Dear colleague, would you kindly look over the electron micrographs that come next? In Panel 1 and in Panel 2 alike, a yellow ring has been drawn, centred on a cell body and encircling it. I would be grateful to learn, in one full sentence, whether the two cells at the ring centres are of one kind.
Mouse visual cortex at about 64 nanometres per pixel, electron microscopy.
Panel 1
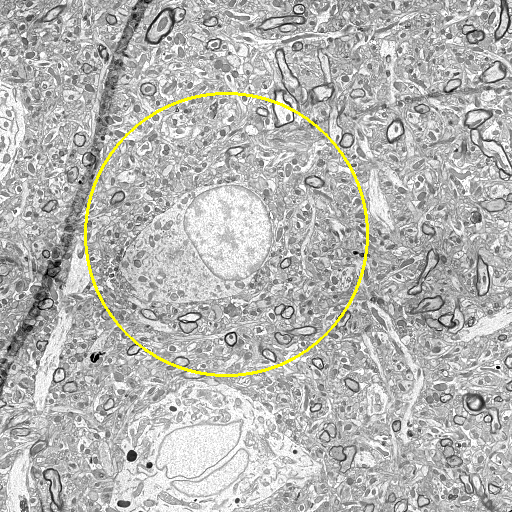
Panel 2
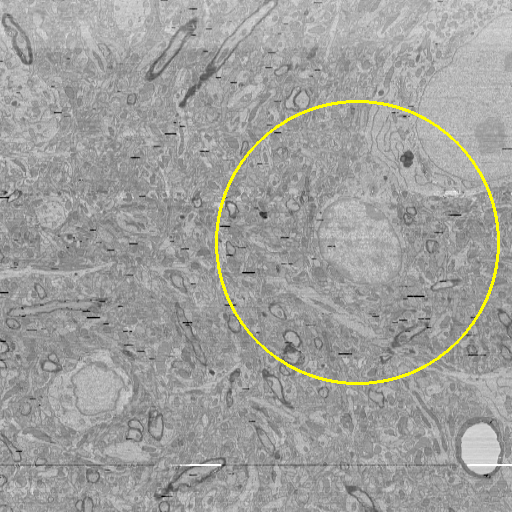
Yes, the cells in the middle of the rings in the two panels are of one kind.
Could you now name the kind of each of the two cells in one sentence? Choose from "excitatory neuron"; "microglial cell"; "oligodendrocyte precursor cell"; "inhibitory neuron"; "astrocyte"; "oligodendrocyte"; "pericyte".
The cell in the first picture is an oligodendrocyte, and so is the one in the second.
